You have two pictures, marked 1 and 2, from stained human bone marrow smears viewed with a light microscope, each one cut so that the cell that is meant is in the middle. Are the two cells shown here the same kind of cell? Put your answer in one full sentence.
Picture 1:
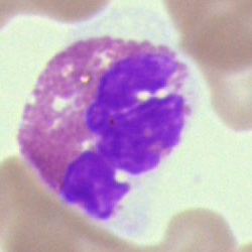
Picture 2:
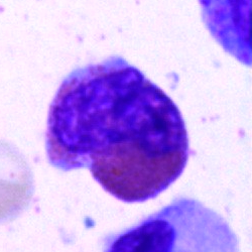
Yes, both cells are eosinophils.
